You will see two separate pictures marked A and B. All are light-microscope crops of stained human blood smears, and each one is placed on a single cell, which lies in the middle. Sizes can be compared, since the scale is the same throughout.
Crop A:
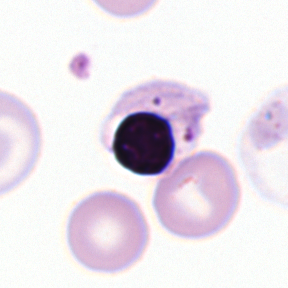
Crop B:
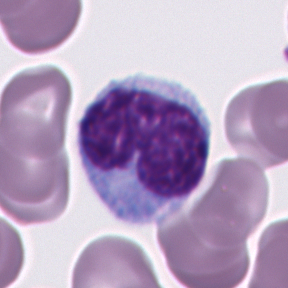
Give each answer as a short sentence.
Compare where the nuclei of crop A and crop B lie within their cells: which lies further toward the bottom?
Seen within its cell, the nucleus in crop A lies further toward the bottom.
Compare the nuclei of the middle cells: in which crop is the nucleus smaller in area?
The nucleus in crop A is smaller; the one in crop B has about 3 times its area.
